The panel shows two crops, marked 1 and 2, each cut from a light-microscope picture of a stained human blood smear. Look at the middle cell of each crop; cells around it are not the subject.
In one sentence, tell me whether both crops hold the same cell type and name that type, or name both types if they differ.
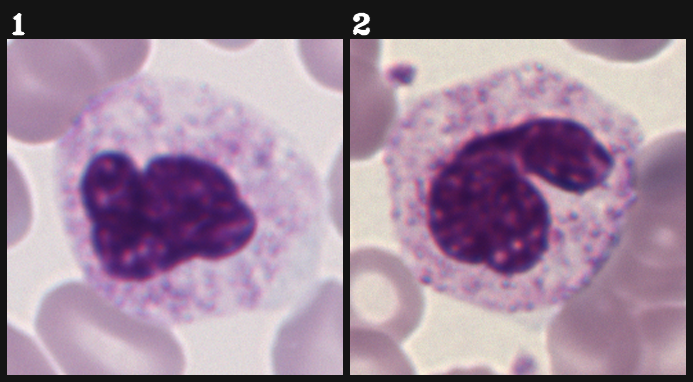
Yes, in the middle of both crops lie neutrophils.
